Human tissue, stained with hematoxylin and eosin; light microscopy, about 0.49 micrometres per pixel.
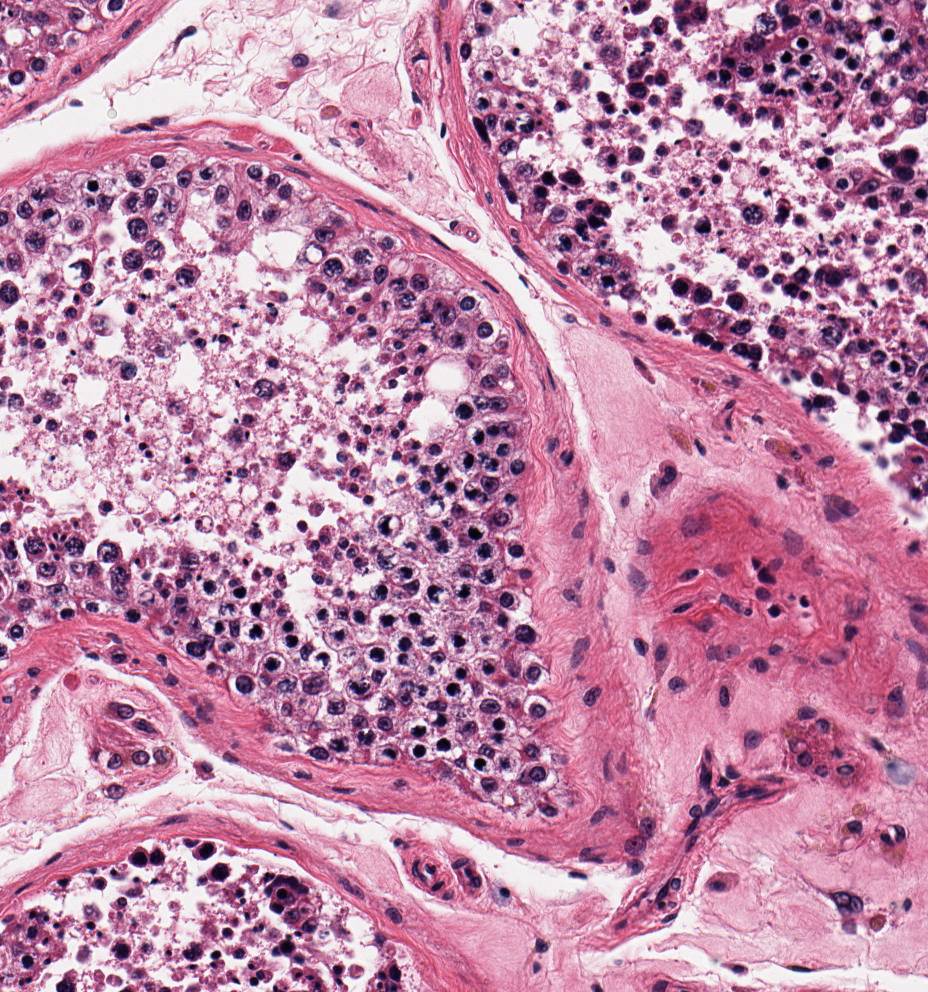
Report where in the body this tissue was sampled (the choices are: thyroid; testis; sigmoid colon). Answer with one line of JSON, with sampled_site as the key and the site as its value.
{"sampled_site": "testis"}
